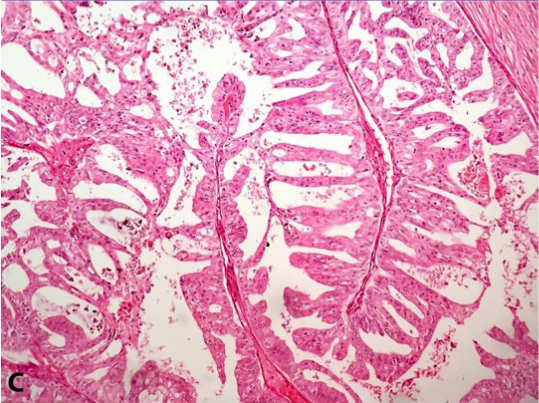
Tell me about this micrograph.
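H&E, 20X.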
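Papillary tumour with complex branching fronds, each with a thin pink fibrovascular core lined by columnar epithelial cells. The lining cells have rounded nuclei and pink cytoplasm; the spaces between the fronds hold scattered loose debris.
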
